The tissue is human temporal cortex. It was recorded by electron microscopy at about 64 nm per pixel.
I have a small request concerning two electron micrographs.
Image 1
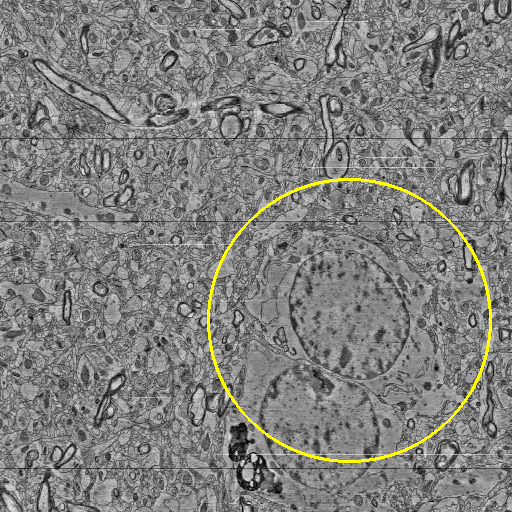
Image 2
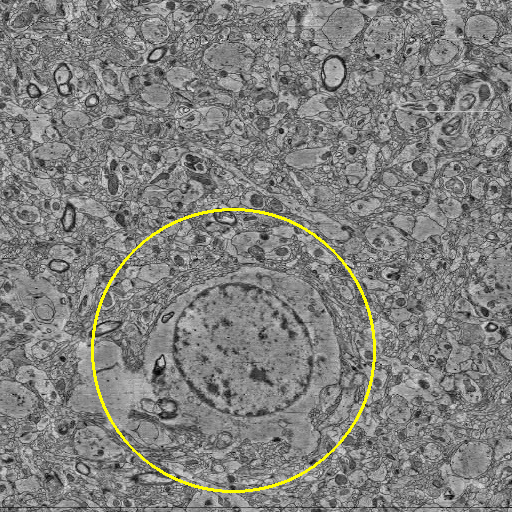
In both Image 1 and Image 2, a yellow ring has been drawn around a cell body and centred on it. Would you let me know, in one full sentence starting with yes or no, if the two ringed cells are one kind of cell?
Yes, the cells ringed in Image 1 and Image 2 are one kind of cell.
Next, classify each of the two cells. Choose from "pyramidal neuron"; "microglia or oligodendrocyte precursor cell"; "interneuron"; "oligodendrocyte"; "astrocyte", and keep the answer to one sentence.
In each picture the ringed cell is an astrocyte.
